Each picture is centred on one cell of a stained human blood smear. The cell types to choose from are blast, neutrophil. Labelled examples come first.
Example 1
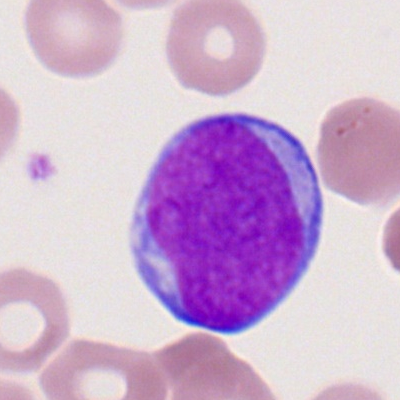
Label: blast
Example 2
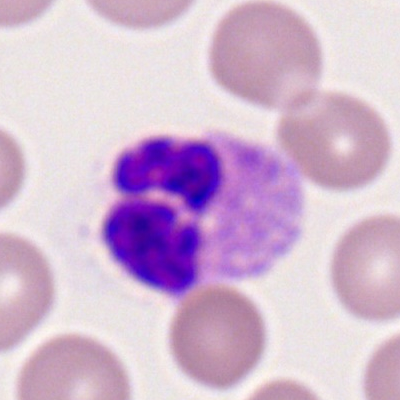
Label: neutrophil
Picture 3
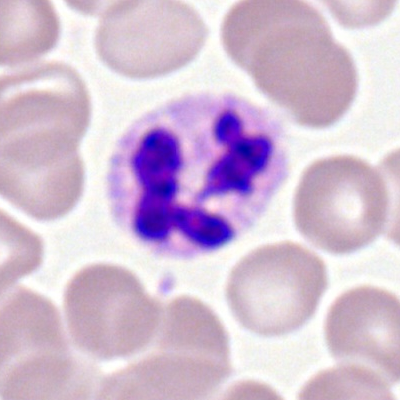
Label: neutrophil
